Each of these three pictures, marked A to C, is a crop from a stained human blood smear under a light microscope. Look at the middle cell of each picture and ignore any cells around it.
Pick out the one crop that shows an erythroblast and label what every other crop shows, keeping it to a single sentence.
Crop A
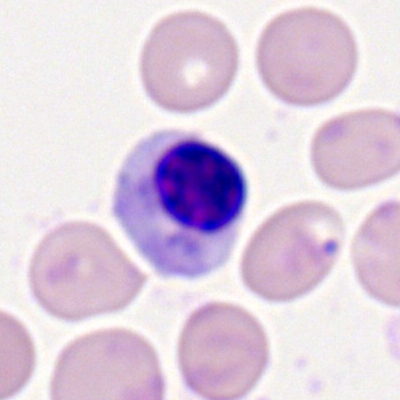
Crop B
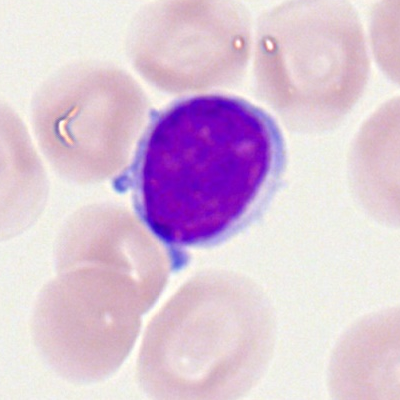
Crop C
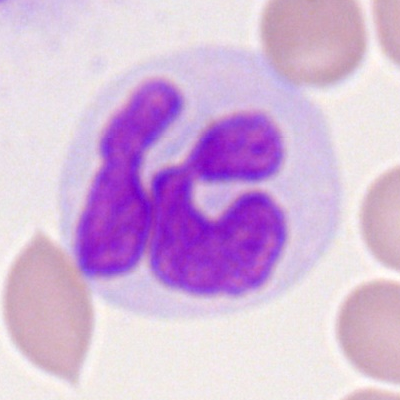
Regarding crop A, it shows an erythroblast, while crop B is a lymphocyte and crop C is a monocyte.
